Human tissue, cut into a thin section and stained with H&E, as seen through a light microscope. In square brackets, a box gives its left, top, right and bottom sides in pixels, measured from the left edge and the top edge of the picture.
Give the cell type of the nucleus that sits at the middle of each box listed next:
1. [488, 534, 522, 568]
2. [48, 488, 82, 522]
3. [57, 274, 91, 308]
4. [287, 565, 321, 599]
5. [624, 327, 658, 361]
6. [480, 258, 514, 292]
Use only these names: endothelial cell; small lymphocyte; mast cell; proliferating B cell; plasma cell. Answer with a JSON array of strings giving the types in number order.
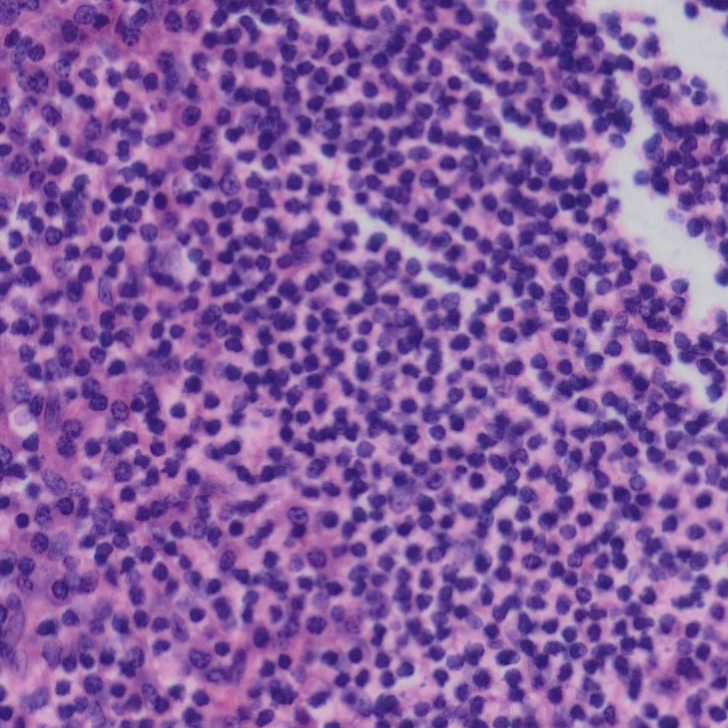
["small lymphocyte", "plasma cell", "plasma cell", "small lymphocyte", "small lymphocyte", "small lymphocyte"]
